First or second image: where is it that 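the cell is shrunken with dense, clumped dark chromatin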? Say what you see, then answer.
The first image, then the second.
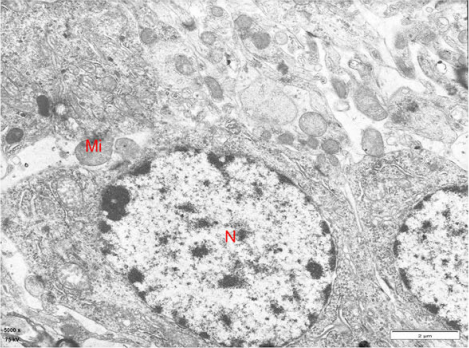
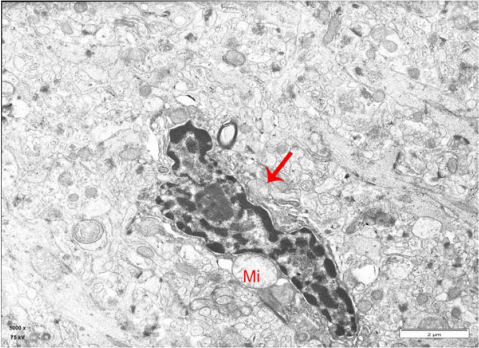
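Second image: a small, irregular cell whose nucleus is filled with very dark clumped chromatin. First image: a large round nucleus with mostly pale, finely dispersed chromatin and a few dark patches. That points to this answer: the second image.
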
